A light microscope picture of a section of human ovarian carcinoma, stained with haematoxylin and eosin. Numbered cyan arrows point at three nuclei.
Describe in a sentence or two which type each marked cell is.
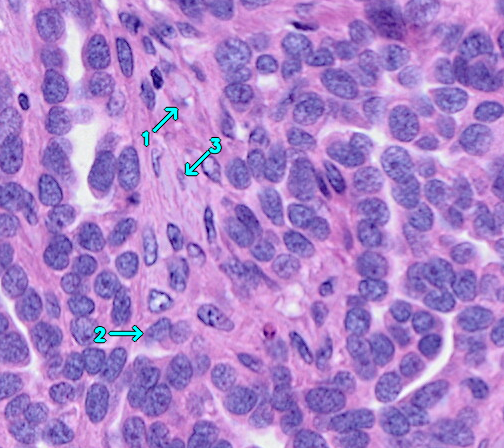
Cells 1 and 3 are fibroblasts. Cell 2 is a carcinoma cell.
